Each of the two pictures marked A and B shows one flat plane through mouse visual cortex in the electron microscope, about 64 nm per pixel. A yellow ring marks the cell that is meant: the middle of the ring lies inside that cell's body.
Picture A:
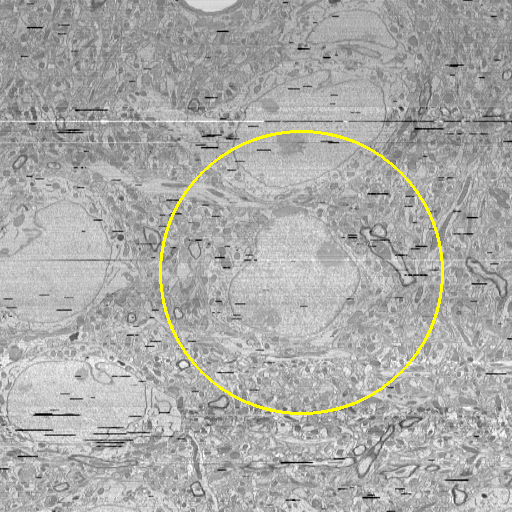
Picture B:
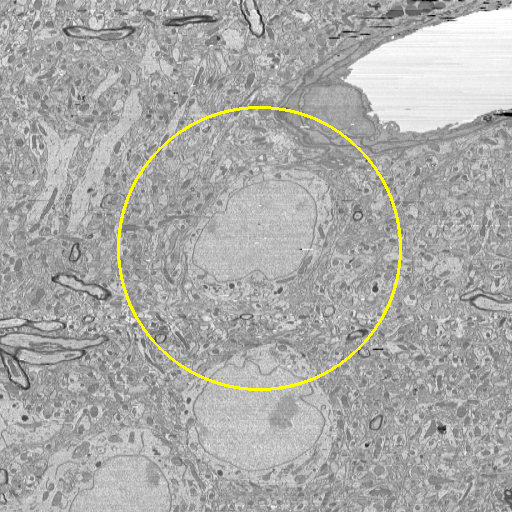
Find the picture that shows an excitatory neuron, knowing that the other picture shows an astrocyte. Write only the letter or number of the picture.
B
